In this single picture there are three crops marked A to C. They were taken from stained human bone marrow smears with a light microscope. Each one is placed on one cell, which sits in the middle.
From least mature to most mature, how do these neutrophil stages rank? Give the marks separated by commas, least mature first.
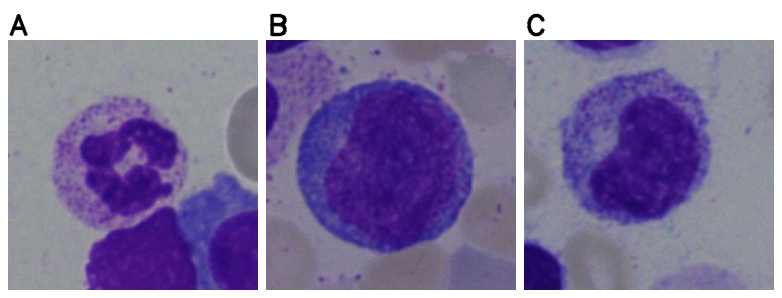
B, C, A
